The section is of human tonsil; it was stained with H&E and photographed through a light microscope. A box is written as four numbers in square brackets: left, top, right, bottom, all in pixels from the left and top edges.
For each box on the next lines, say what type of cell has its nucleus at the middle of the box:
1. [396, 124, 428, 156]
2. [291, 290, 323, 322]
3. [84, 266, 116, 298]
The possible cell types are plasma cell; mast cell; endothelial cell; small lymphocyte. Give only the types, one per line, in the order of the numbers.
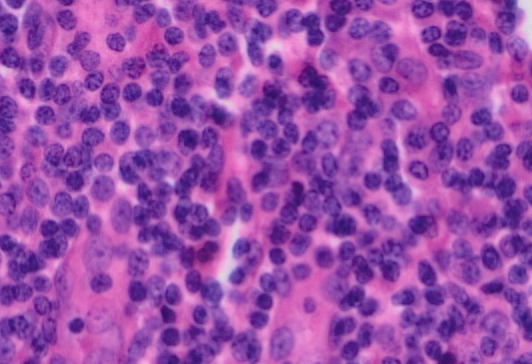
plasma cell
endothelial cell
endothelial cell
